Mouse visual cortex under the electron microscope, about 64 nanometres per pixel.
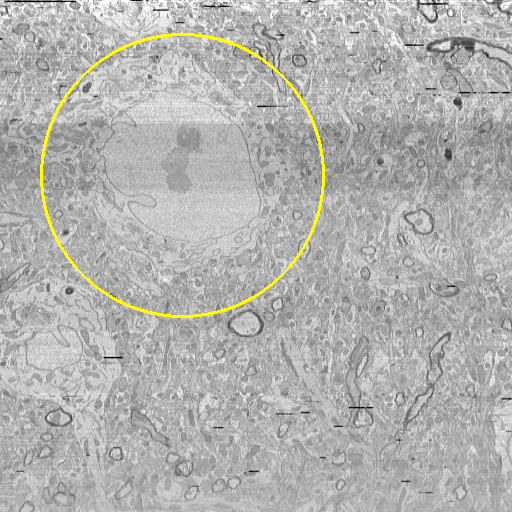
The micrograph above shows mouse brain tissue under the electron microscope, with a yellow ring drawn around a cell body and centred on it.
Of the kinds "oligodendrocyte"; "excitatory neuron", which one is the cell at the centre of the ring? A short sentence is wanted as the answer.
The one at the centre of the ring is an excitatory neuron.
